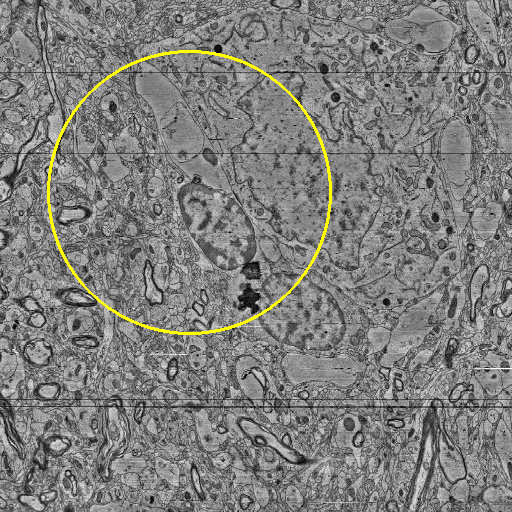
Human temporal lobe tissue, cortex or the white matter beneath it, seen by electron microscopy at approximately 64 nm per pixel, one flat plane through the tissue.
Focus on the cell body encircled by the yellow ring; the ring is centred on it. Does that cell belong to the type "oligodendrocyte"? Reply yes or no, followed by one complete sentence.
No, the cell lying at the centre of the ring in the picture is another type.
